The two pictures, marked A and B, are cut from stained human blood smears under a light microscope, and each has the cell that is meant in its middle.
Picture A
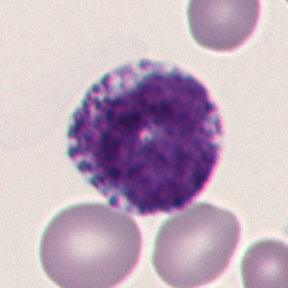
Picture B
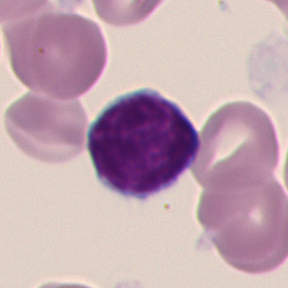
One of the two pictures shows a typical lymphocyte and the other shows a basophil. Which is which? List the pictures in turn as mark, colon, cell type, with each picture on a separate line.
A: basophil
B: typical lymphocyte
